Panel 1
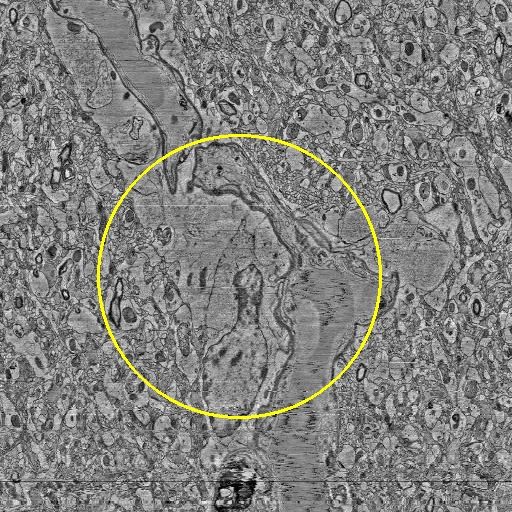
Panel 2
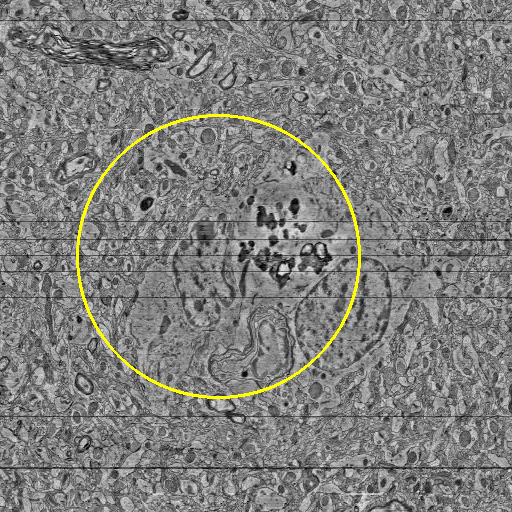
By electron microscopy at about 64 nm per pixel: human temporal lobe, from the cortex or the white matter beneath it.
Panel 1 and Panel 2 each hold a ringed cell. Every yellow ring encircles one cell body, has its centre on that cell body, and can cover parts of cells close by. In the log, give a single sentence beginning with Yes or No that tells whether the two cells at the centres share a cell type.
Yes, in Panel 1 and Panel 2 the centred cells share a cell type.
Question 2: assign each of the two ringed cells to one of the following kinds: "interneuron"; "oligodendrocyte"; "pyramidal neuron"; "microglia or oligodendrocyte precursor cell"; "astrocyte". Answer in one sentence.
Each of the two pictures has a microglial cell or oligodendrocyte precursor cell at the ring centre.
